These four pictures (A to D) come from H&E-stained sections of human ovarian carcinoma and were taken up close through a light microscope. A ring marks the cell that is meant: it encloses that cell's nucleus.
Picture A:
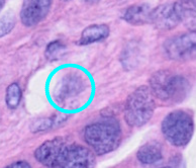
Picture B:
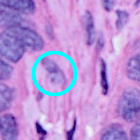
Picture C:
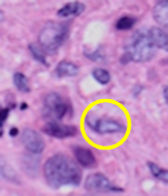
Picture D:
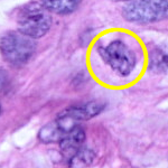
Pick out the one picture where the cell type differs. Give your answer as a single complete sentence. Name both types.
All pictures except D show fibroblasts; picture D shows a “macrophage or monocyte”.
